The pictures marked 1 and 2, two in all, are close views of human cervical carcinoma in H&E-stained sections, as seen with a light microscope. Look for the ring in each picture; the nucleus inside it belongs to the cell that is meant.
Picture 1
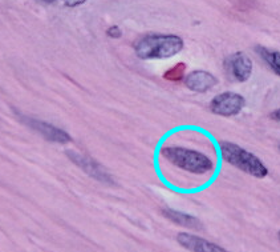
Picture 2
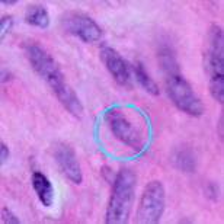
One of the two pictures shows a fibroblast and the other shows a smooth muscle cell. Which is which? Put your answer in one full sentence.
The cell in picture 1 is a fibroblast, and the one in picture 2 is a smooth muscle cell.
